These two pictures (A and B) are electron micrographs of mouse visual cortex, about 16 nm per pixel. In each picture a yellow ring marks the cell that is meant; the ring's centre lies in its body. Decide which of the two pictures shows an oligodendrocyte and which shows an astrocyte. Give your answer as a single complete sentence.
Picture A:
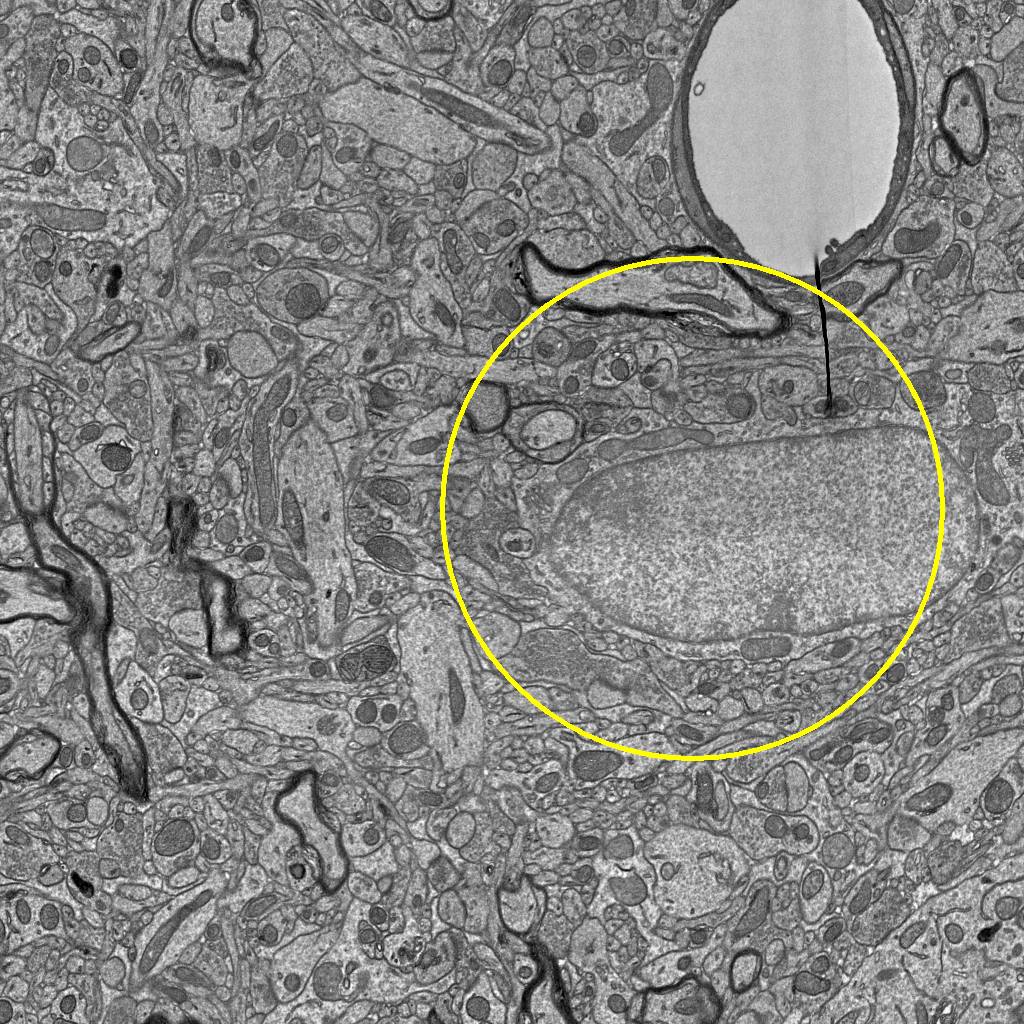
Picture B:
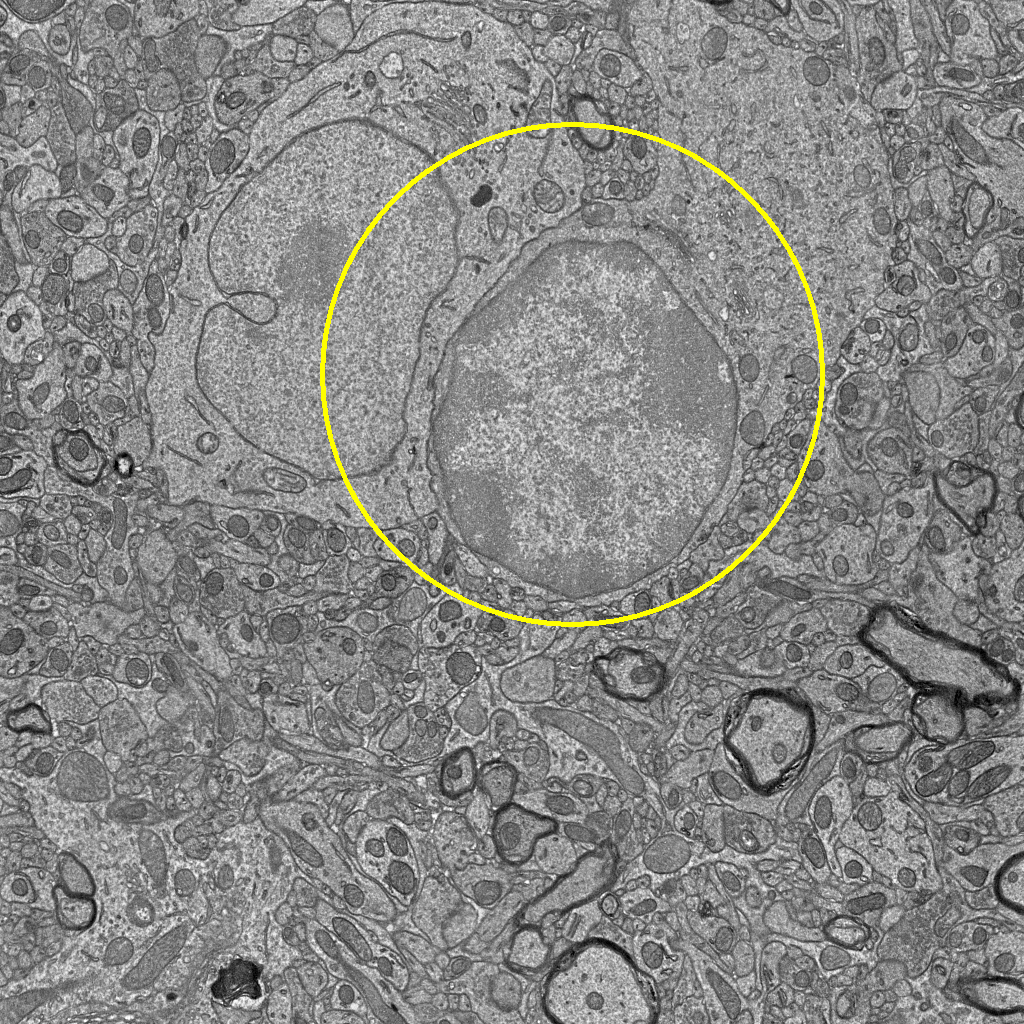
It is picture A that shows an astrocyte, and picture B that shows an oligodendrocyte.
